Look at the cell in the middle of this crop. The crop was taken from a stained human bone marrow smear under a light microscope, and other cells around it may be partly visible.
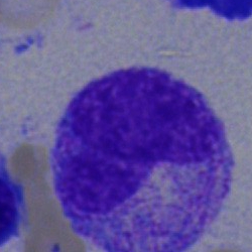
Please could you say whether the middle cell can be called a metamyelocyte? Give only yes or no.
yes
